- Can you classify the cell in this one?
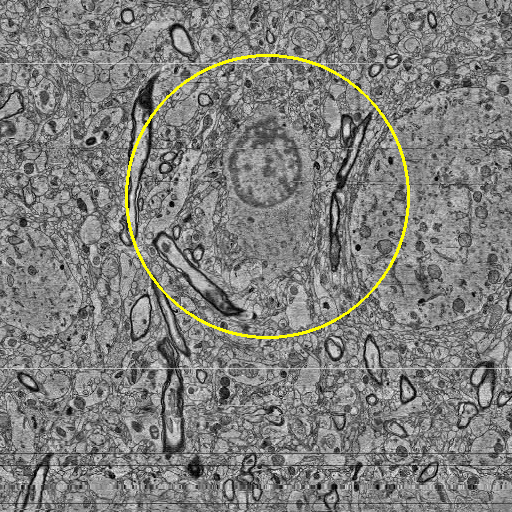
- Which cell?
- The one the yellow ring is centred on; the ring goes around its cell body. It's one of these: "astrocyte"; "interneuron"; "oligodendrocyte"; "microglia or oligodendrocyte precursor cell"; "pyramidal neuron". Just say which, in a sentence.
The cell body in the ring belongs to an oligodendrocyte.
